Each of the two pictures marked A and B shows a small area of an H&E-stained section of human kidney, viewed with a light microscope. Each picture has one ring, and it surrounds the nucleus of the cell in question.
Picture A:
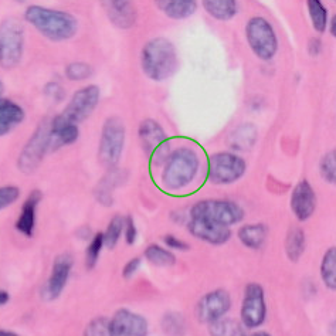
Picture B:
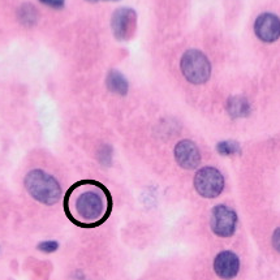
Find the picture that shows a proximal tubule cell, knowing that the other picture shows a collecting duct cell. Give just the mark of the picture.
B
